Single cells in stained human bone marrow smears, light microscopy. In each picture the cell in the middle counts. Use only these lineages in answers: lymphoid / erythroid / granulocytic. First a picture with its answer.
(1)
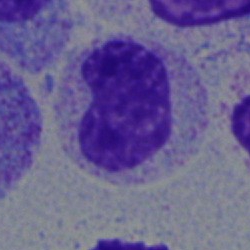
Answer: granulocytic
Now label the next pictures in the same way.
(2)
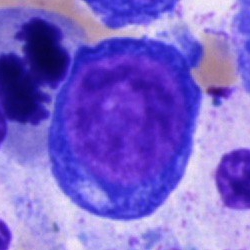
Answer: erythroid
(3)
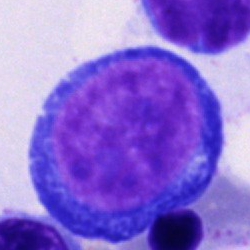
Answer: erythroid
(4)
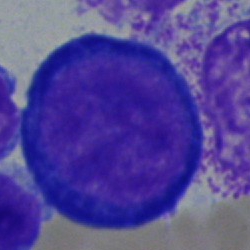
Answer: erythroid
